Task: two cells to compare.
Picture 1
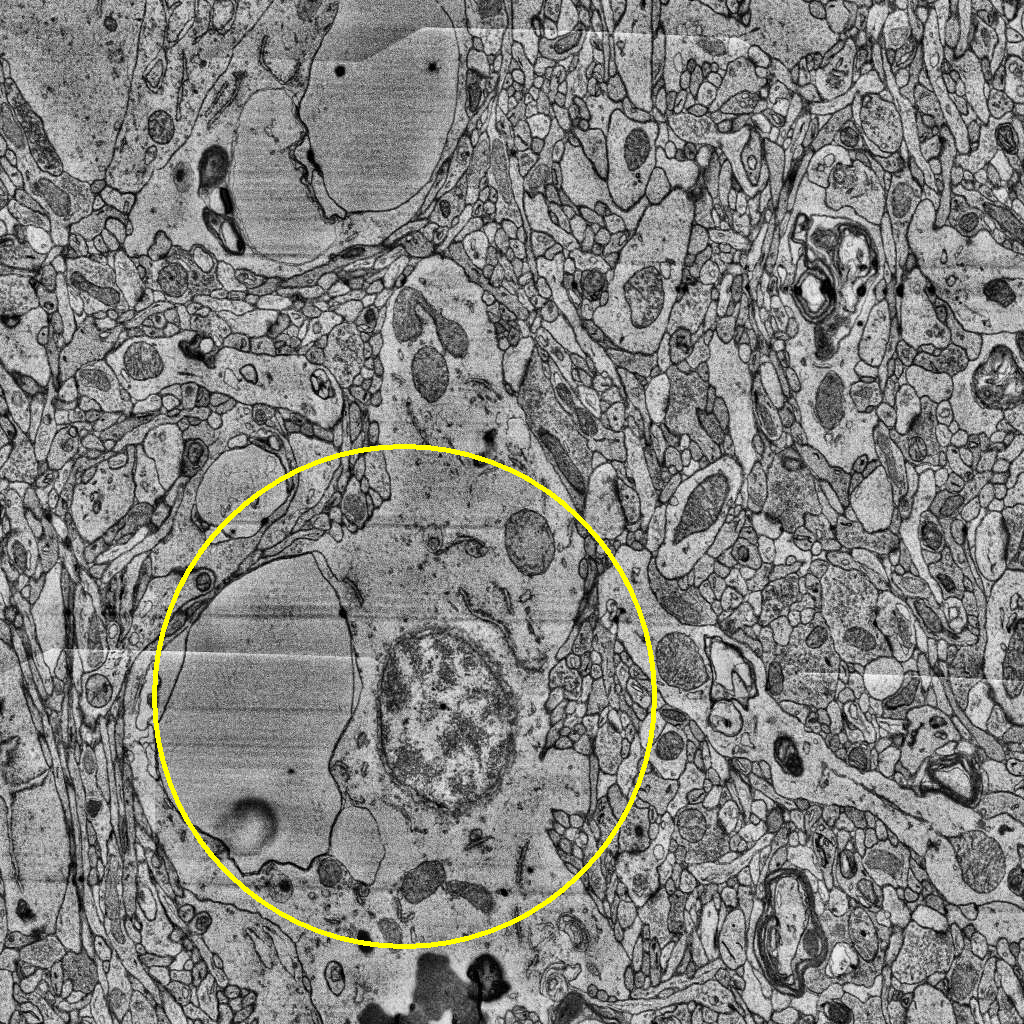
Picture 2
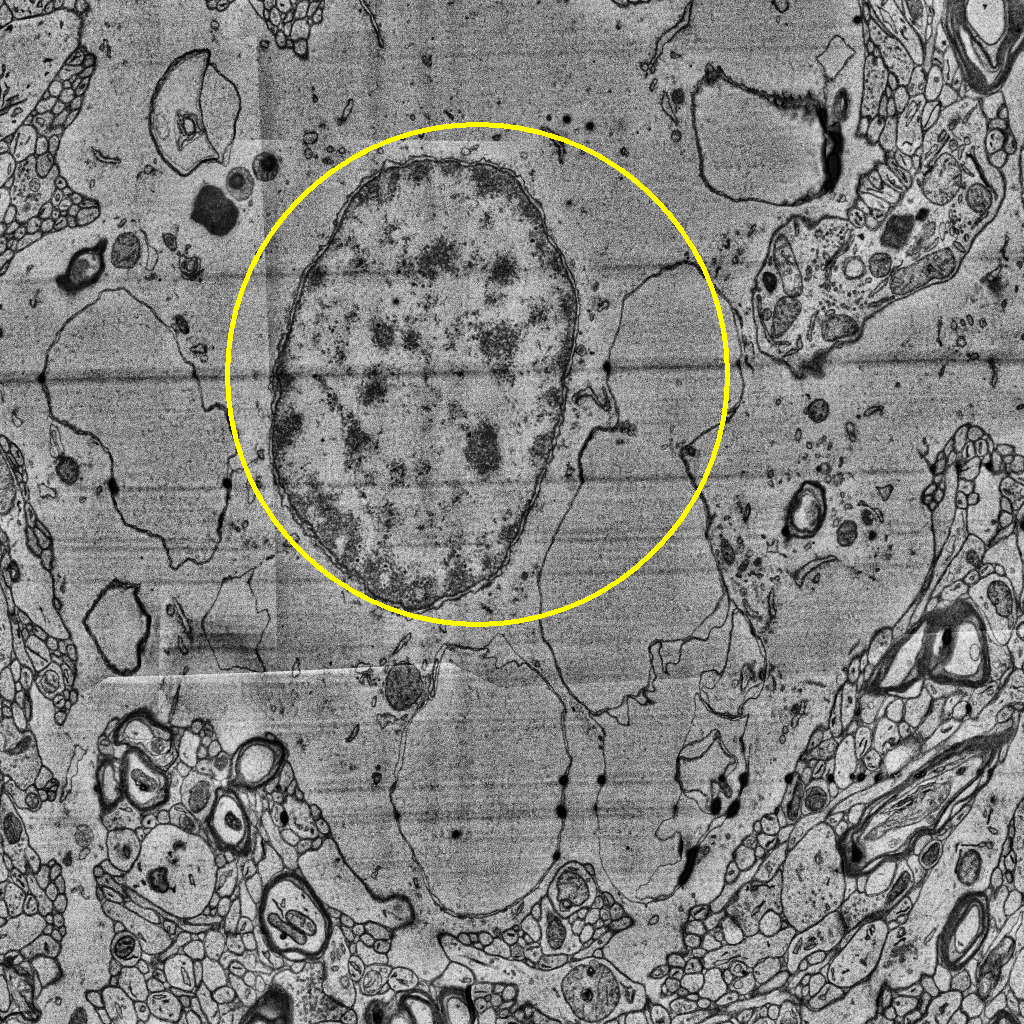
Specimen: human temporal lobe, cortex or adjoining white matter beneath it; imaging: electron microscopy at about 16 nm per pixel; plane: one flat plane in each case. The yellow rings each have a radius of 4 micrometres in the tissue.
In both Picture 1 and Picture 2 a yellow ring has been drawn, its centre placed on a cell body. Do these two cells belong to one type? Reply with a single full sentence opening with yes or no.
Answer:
Yes, the two cells at the ring centres in Picture 1 and Picture 2 share one type.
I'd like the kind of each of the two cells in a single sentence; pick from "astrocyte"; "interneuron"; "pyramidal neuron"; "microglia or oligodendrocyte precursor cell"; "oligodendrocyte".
Each of the two cells is an astrocyte.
